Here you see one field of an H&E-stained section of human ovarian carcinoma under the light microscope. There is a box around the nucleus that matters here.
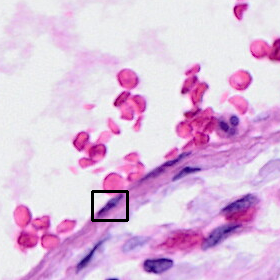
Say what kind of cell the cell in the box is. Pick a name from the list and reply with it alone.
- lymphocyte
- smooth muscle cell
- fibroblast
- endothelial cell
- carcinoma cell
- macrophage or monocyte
endothelial cell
